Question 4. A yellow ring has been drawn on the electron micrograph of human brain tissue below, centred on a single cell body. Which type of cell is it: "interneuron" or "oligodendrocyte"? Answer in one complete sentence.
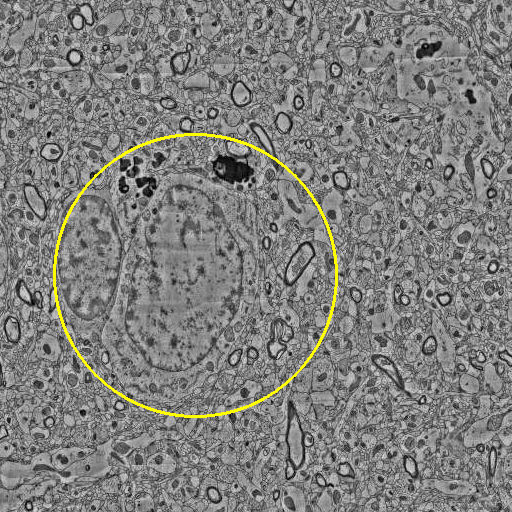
This cell body belongs to an interneuron.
